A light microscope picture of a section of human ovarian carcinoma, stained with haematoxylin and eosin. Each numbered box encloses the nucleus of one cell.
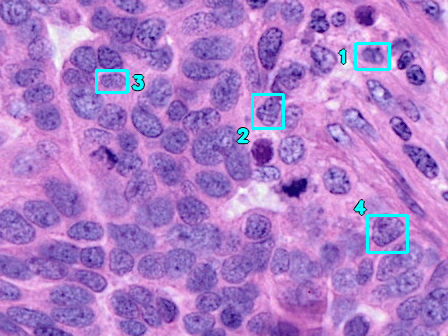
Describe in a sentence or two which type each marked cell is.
Cell 1 is a lymphocyte, cell 2 is a macrophage or monocyte, cell 3 is a carcinoma cell and cell 4 is a carcinoma cell.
